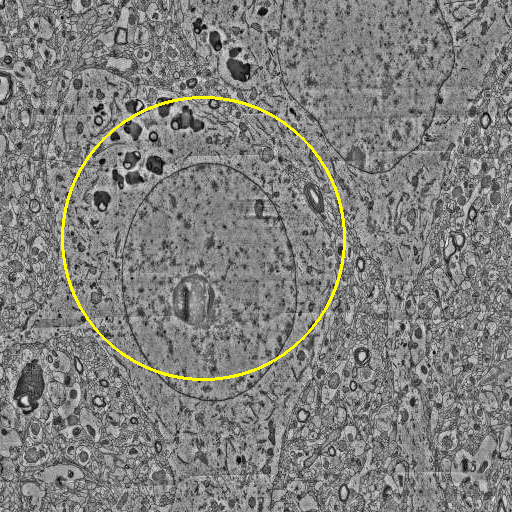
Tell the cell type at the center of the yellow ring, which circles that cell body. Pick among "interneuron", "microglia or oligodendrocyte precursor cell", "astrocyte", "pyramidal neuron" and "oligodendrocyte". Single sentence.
The ring is centered on the body of a pyramidal neuron.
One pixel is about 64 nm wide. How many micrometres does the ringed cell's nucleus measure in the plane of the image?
The nucleus appears roughly 15 by 12 micrometres in this plane.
